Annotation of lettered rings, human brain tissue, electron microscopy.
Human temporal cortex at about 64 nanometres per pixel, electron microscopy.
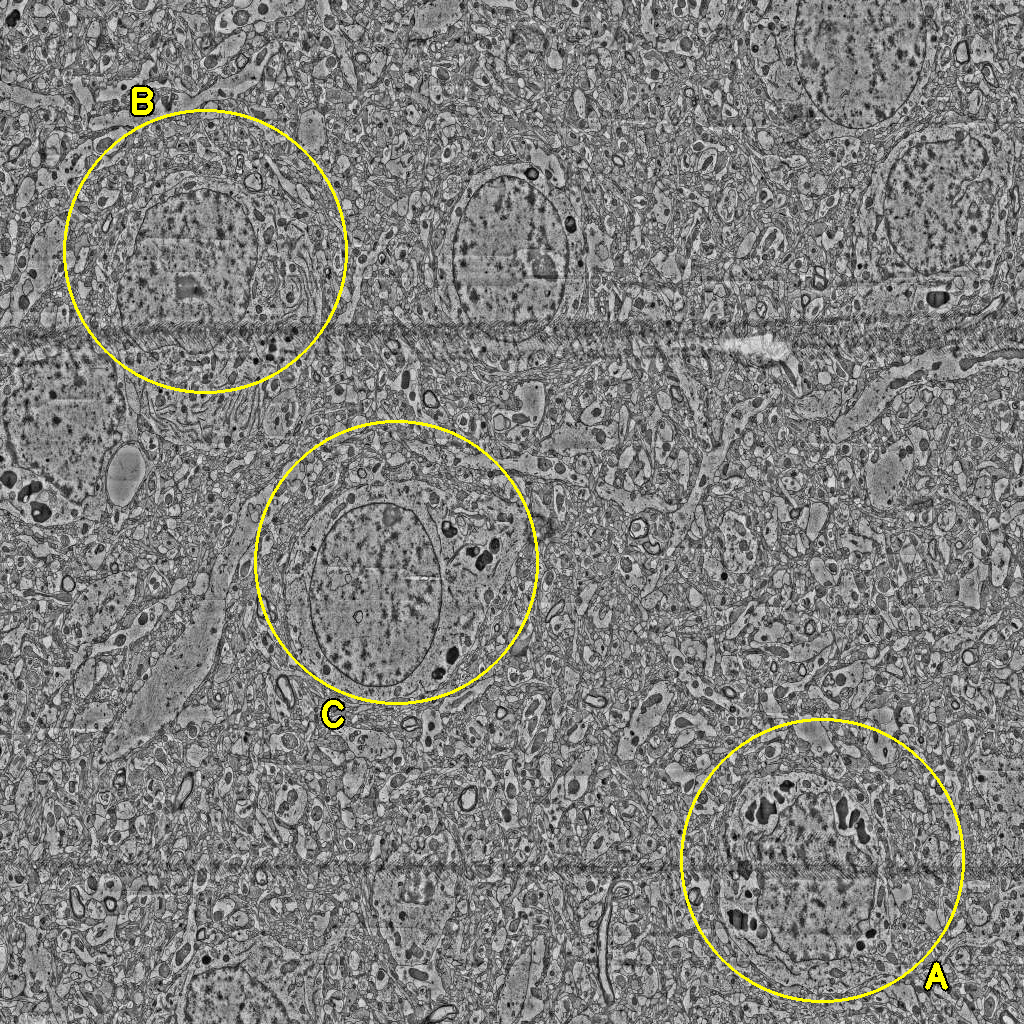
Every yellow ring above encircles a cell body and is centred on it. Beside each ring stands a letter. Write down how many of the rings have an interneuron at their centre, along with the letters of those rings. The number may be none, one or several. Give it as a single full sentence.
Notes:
Every ring in the group lettered A and B is centred on an interneuron, and the group numbers two.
